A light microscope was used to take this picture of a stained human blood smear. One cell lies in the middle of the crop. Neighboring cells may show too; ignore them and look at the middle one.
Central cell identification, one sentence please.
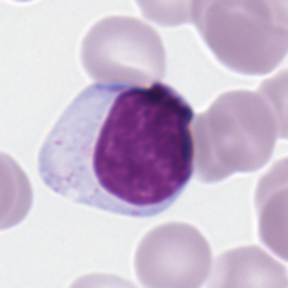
The center cell of this crop is a large granular lymphocyte.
